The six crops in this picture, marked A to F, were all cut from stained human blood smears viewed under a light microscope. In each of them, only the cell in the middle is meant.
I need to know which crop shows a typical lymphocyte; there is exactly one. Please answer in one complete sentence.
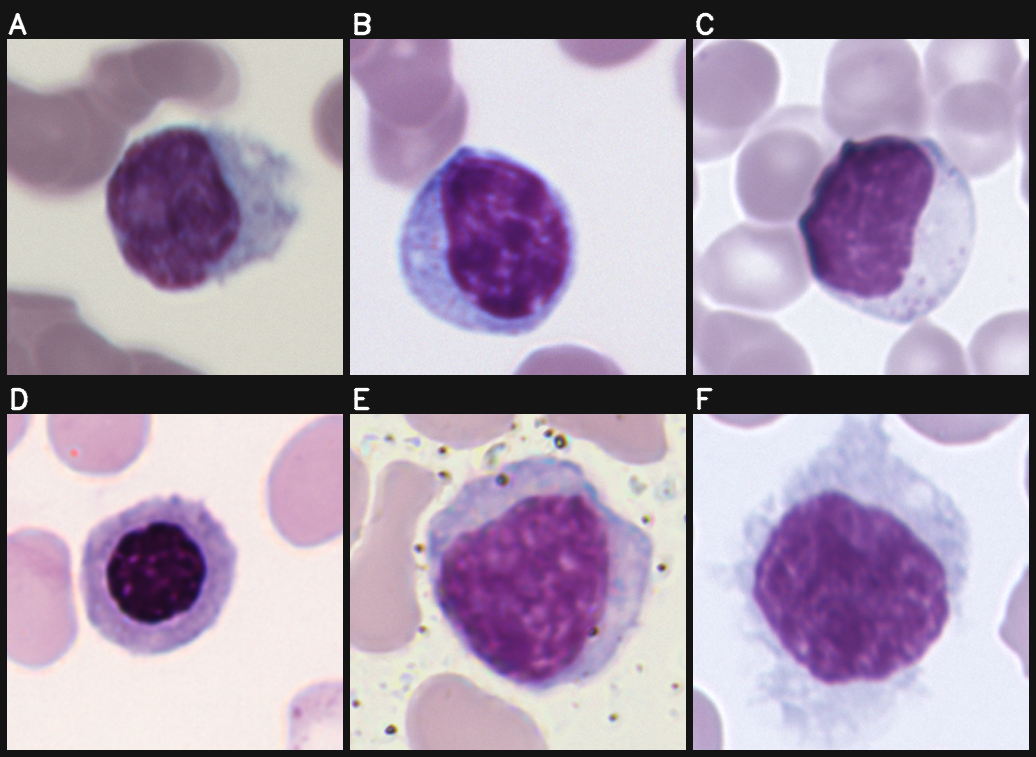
Crop B is the crop whose central cell is a typical lymphocyte.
